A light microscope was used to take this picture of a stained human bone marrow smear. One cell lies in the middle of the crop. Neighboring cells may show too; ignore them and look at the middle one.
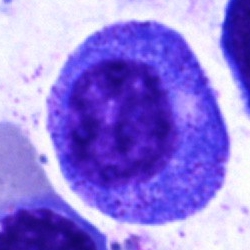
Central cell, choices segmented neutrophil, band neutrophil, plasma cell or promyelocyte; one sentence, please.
The centrally placed cell is classified as a promyelocyte.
